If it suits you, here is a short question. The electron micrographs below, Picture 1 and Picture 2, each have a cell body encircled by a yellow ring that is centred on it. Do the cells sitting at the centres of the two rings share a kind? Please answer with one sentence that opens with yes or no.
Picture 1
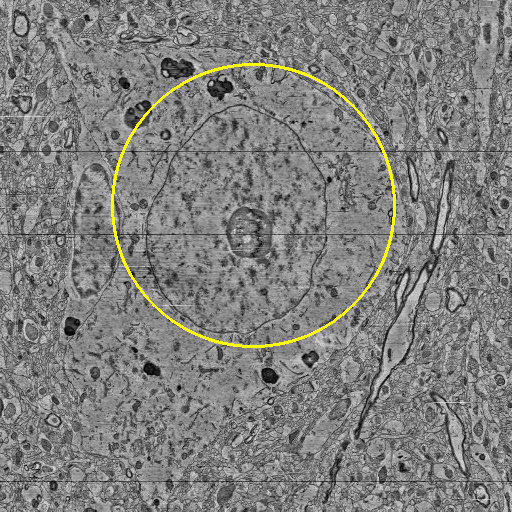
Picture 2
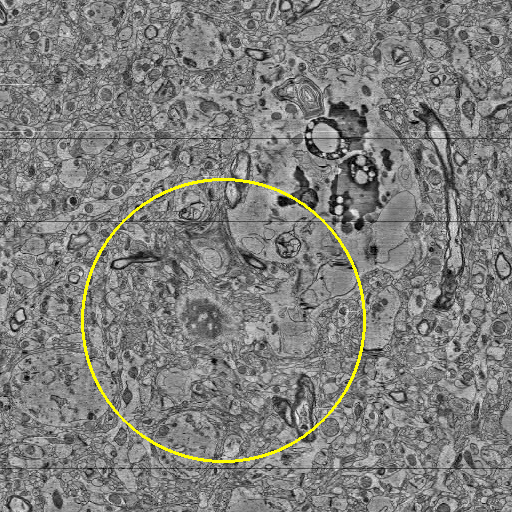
No, the two cells sitting at the ring centres fall into two kinds.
